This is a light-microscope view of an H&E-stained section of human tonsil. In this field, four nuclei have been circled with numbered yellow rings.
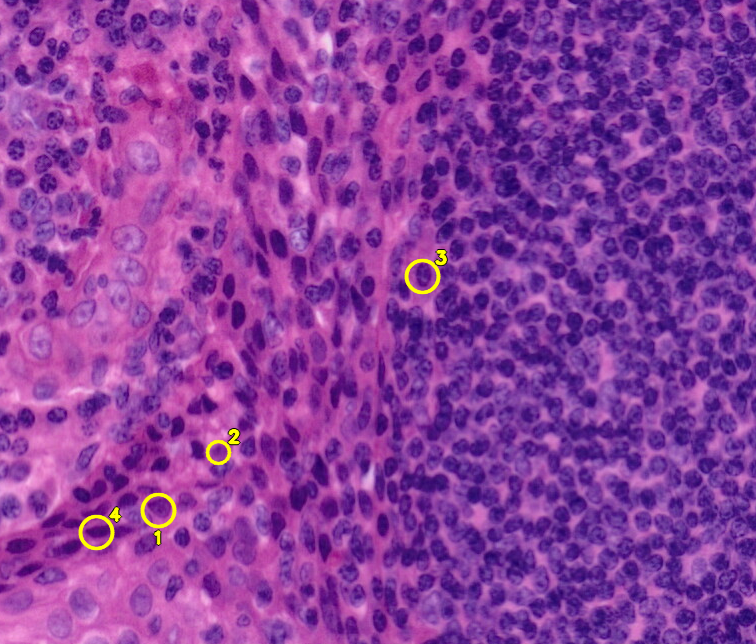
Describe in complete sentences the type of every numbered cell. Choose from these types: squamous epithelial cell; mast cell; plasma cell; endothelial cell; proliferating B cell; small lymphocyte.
Cells 1, 2 and 4 are squamous epithelial cells. Cell 3 is a plasma cell.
